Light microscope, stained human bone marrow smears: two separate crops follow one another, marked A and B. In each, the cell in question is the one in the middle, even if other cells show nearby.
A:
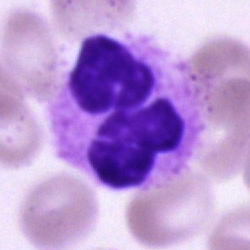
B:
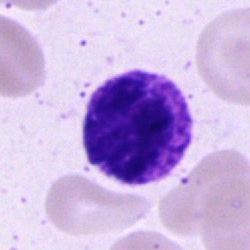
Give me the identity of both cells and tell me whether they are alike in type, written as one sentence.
No, crop A presents a segmented neutrophil; crop B presents a basophil.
